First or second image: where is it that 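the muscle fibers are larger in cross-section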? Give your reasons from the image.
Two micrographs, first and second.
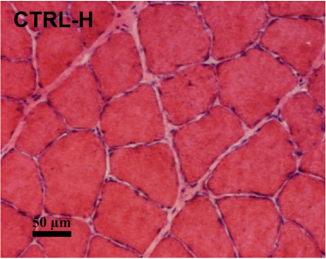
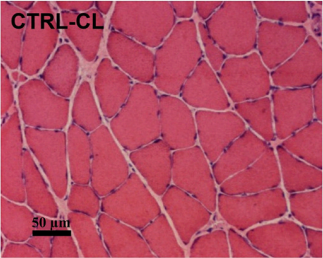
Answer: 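The first image. Second image: many smaller polygonal fiber profiles fill the field at the same scale bar. First image: fewer, clearly larger fiber profiles fill the field at the same scale bar.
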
